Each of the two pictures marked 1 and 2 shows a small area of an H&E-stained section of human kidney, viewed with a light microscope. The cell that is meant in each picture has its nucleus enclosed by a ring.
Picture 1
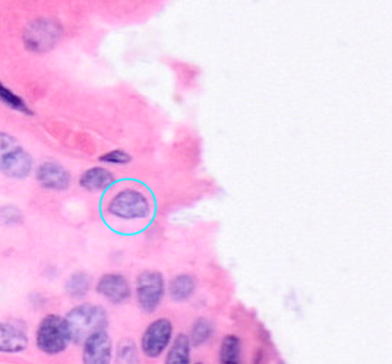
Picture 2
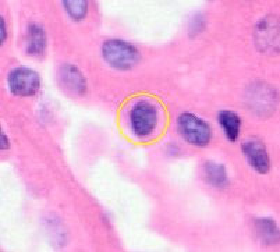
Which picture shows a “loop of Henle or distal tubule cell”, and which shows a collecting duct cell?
1: collecting duct cell
2: loop of Henle or distal tubule cell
